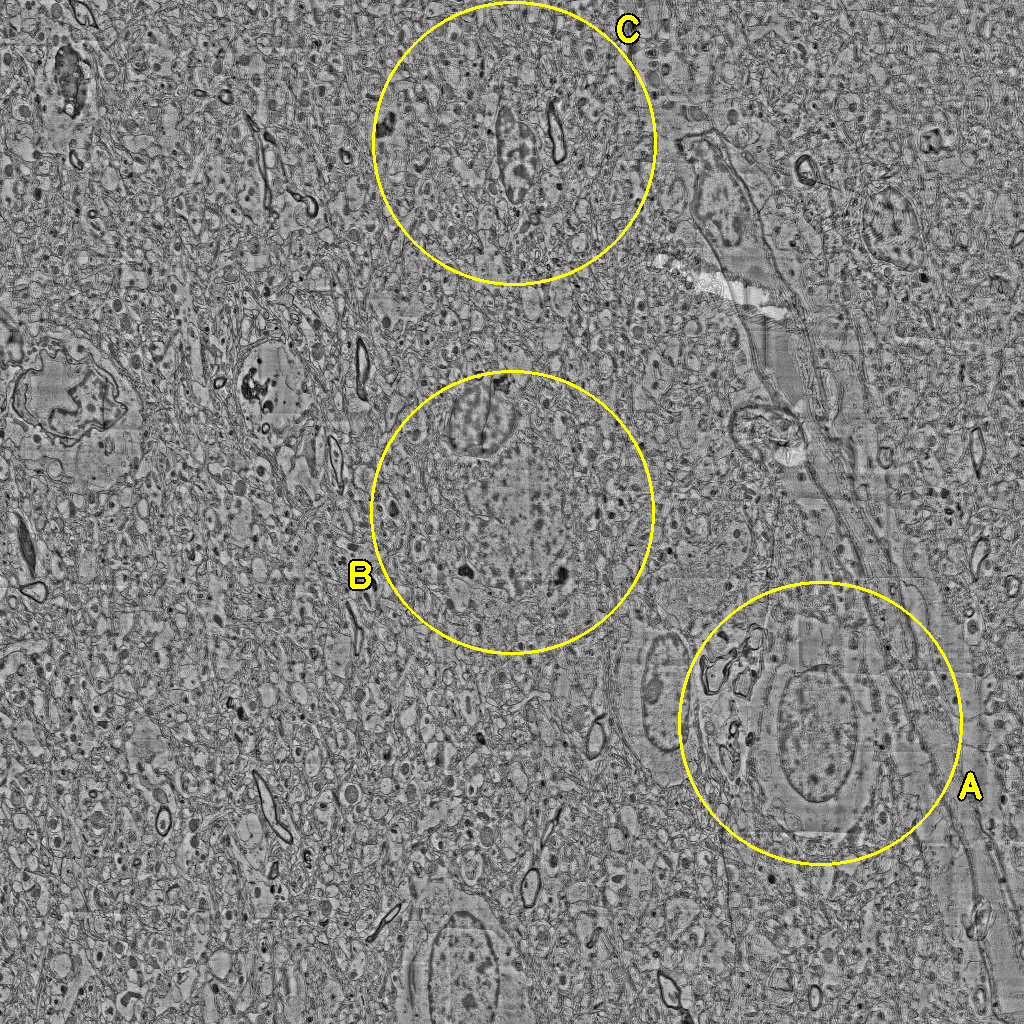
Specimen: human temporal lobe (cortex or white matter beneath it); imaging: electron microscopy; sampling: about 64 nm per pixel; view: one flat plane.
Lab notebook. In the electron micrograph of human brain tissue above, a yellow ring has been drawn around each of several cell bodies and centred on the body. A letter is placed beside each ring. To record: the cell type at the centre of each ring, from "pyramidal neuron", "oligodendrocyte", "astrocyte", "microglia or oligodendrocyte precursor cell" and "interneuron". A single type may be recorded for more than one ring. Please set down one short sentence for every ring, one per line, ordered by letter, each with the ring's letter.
The centre of ring A is occupied by an astrocyte.
The centre of ring B is occupied by an interneuron.
The centre of ring C is occupied by a microglial cell or oligodendrocyte precursor cell.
